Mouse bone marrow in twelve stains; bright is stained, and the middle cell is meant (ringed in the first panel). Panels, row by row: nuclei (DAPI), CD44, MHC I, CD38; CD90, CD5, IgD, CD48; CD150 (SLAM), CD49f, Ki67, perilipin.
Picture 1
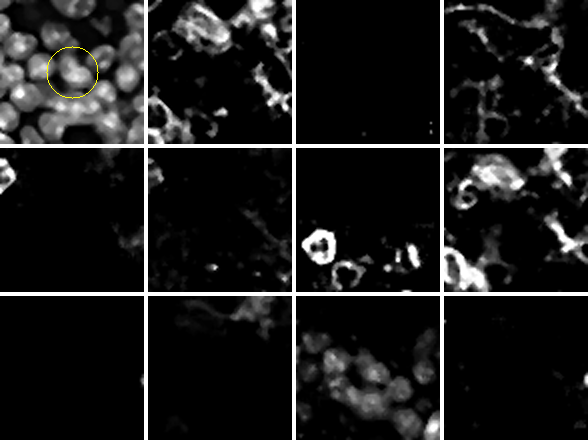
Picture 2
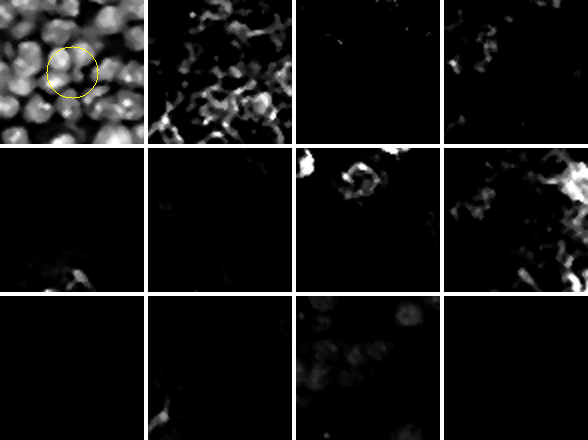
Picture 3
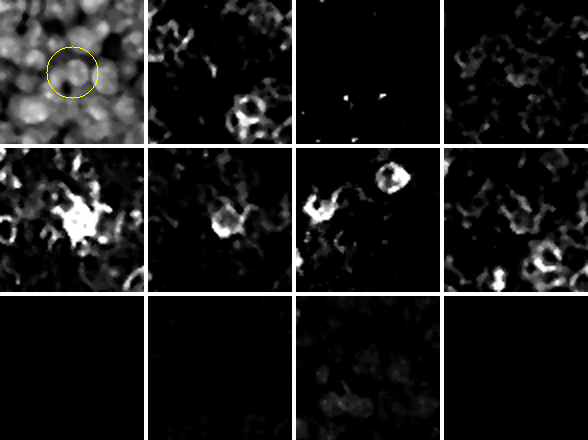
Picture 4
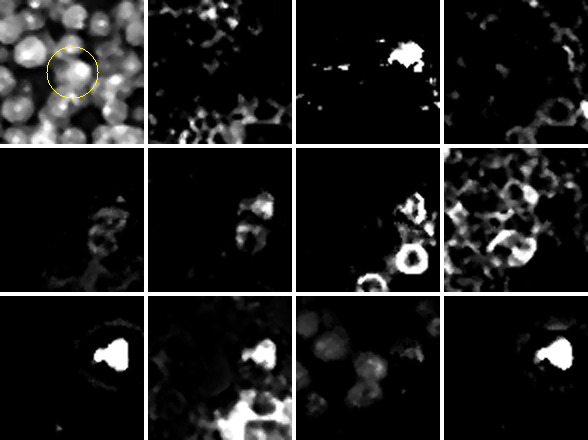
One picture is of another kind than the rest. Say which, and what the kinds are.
Picture 3 shows a T cell; the rest show erythroblasts.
